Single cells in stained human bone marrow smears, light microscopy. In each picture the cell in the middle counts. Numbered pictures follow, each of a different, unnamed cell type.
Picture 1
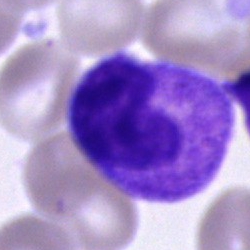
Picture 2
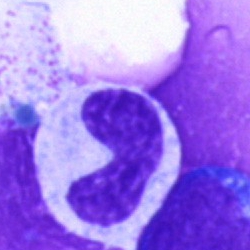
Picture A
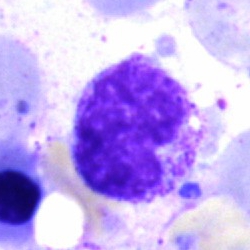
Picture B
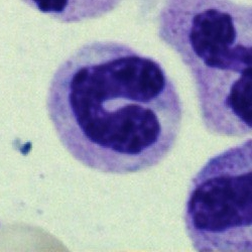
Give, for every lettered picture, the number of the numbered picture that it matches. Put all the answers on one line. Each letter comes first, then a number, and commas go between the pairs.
A 1, B 2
